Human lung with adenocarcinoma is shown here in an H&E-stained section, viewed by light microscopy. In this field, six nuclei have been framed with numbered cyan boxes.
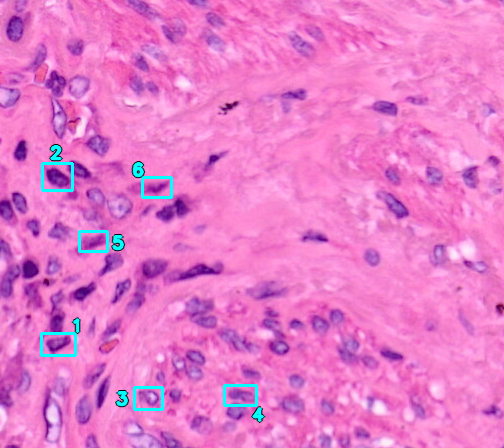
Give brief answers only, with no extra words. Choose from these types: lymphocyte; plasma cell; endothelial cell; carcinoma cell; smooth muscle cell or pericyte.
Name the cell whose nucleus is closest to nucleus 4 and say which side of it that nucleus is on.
a smooth muscle cell or pericyte, below nucleus 4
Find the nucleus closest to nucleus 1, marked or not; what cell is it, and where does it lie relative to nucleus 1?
a plasma cell, above nucleus 1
